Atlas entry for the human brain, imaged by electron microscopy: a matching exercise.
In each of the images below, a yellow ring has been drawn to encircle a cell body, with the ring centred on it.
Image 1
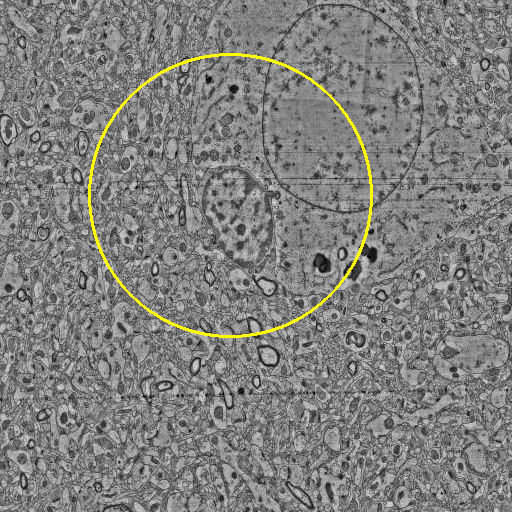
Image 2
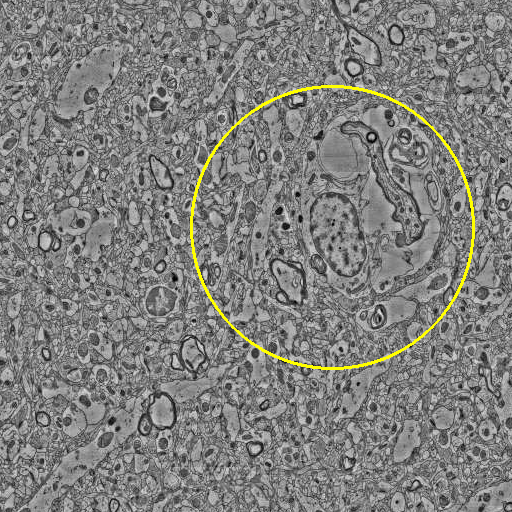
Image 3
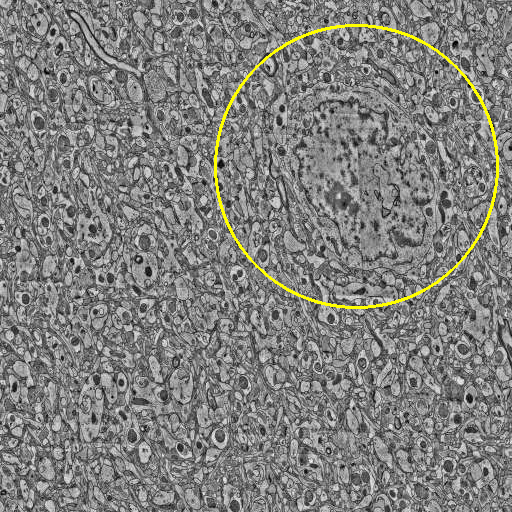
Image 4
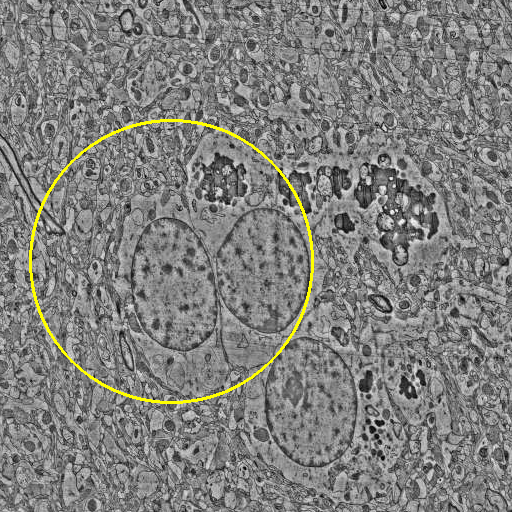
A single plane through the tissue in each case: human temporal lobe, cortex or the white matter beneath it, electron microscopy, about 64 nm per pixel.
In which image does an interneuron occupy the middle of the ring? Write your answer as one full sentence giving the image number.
In image 3, the ring is centred on the cell in question.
